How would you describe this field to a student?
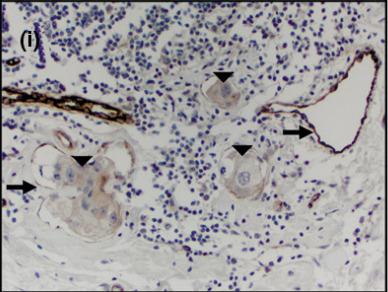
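This field is dominated by dense sheets of lymphocytes, small round cells with dark blue nuclei and little cytoplasm. Several vessels cross the field, their thin walls stained intensely dark brown, including a large dilated empty vessel on the right. Within rounded spaces lie clusters of much larger cells with pale cytoplasm and large vesicular nuclei, which are tumor emboli. The walls around these clusters are thin and partly brown-lined, setting them apart from the surrounding lymphocytes.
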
